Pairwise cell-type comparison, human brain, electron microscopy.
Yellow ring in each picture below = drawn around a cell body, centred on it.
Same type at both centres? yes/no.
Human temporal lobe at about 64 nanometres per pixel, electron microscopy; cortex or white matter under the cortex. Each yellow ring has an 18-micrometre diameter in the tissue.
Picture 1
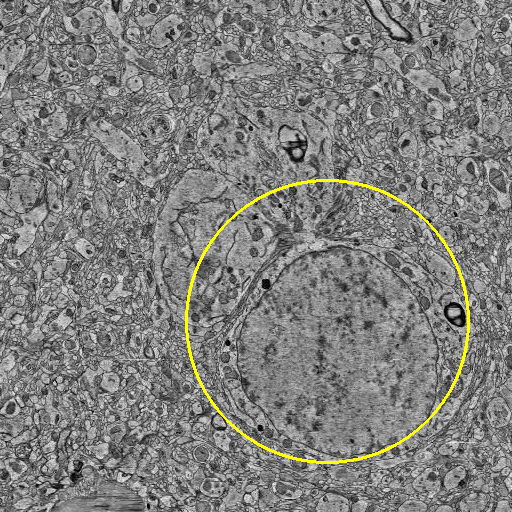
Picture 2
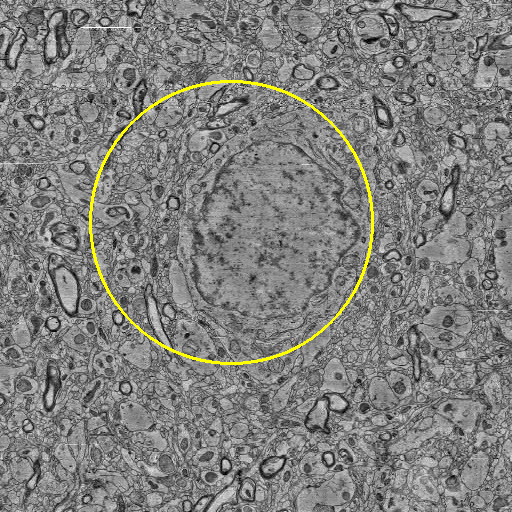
no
